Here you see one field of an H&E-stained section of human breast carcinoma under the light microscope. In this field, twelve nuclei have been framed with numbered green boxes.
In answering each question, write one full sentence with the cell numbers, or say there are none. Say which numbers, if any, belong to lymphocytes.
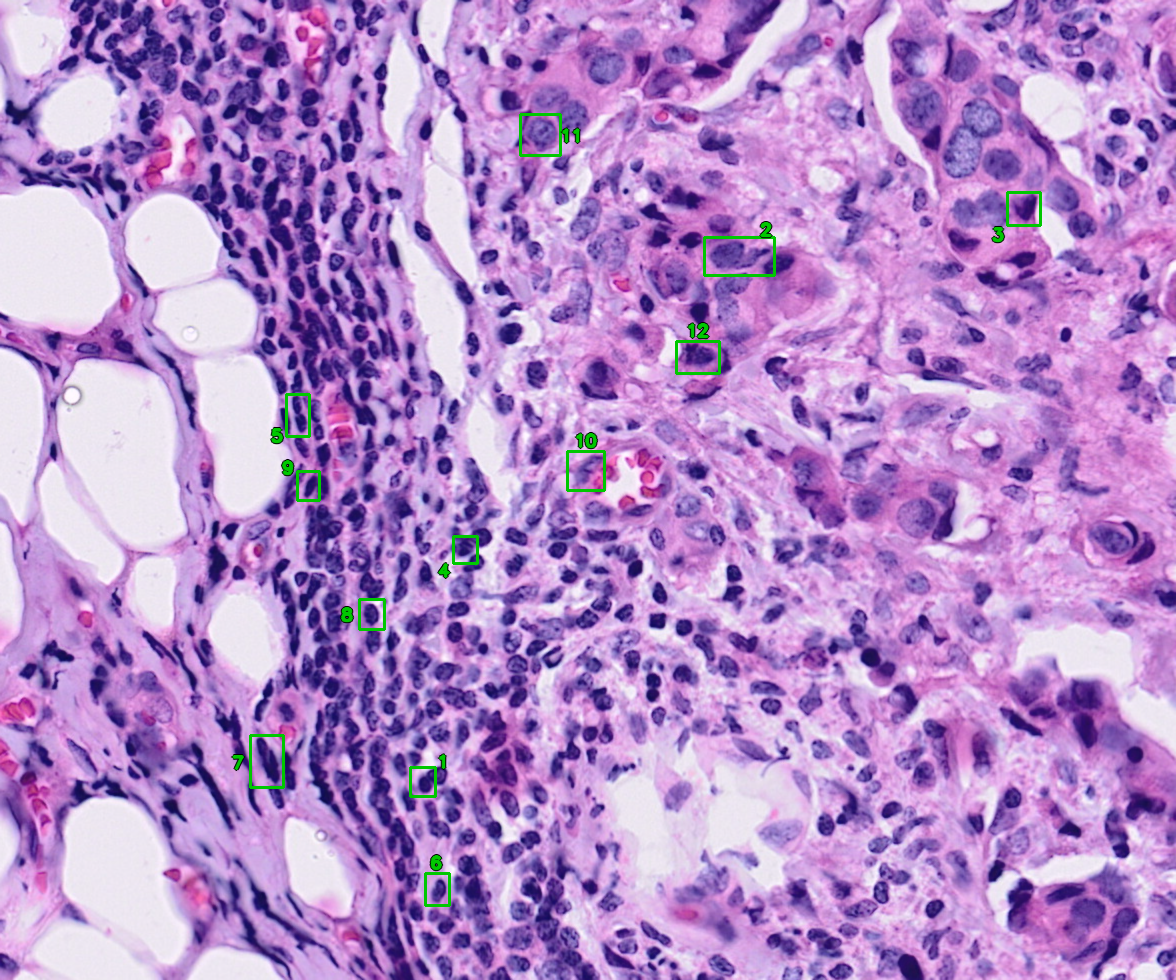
The cells with labels 1, 4, 5, 6, 7, 8 and 9 are lymphocytes.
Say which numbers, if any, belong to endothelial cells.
Just one of the numbered cells is an endothelial cell, namely number 10.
